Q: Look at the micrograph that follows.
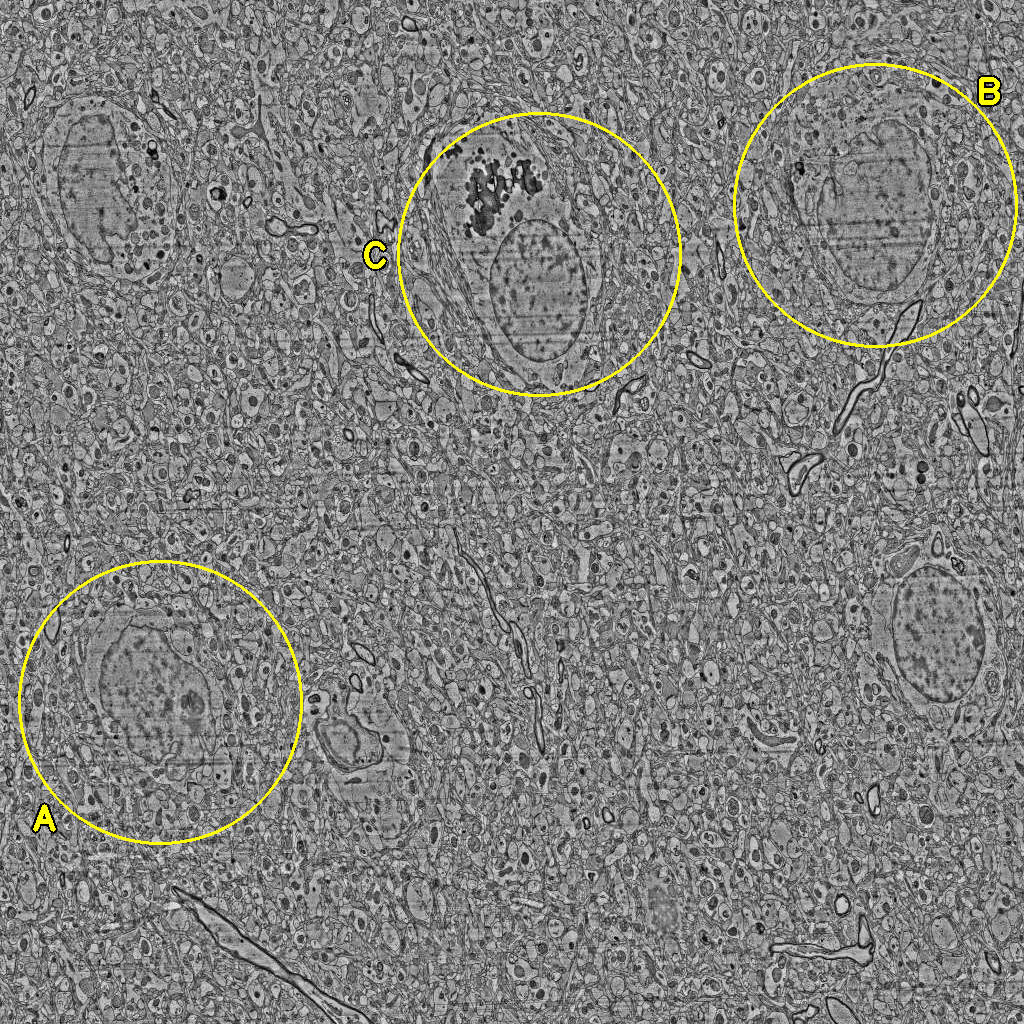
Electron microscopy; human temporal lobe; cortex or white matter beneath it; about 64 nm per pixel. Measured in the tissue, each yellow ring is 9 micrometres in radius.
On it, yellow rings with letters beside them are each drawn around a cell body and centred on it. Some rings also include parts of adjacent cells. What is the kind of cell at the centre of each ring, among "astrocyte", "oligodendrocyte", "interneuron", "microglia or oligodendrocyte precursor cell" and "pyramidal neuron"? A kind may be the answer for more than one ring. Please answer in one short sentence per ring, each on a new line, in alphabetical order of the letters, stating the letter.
Ring A surrounds the cell body of an interneuron.
Ring B surrounds the cell body of an interneuron.
Ring C surrounds the cell body of an astrocyte.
